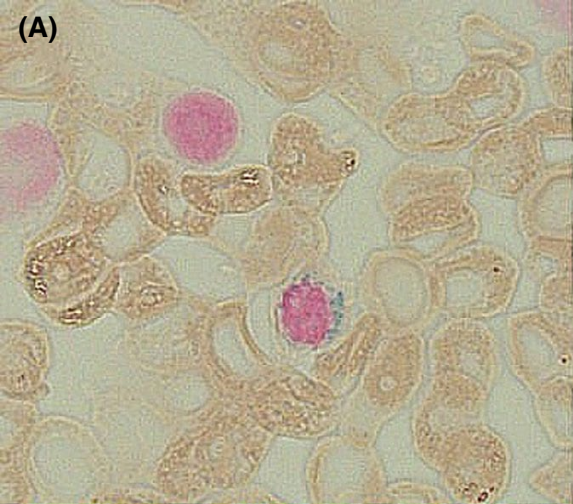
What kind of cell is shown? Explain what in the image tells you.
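A nucleated cell with a pink-red nucleus lies among tan red cells. Small blue granules sit close around the edge of its nucleus.
Answer: ring sideroblast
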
